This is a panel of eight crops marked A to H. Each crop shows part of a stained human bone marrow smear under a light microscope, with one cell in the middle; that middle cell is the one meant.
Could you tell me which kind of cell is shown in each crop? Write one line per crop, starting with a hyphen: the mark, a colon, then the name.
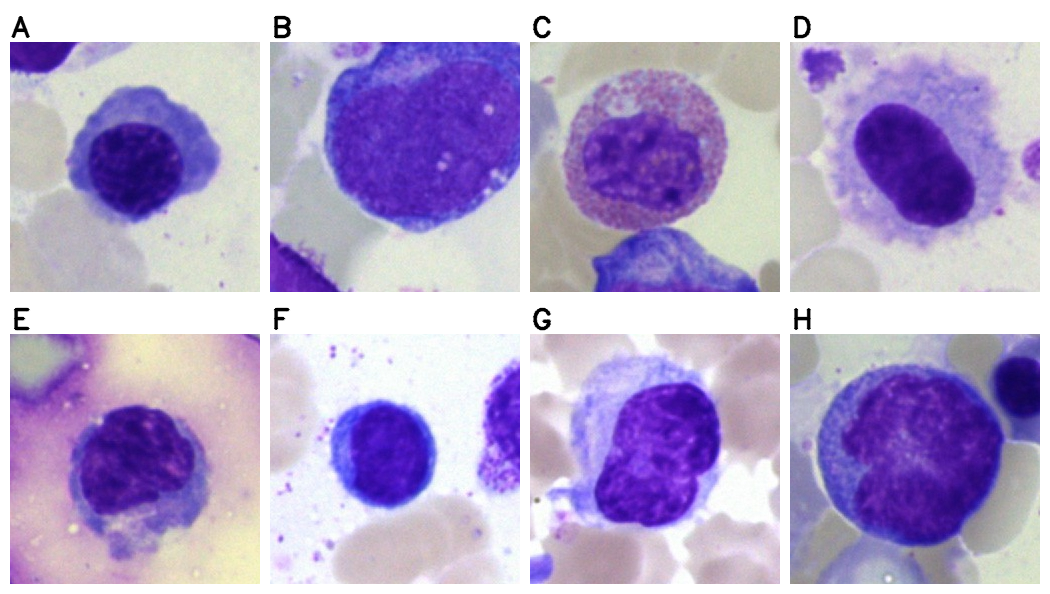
- A: normoblast
- B: blast
- C: eosinophil
- D: hairy cell
- E: monocyte
- F: lymphocyte
- G: hairy cell
- H: monocyte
